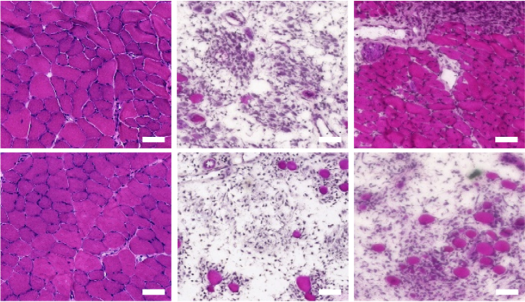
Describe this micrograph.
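Cross sections of skeletal muscle stained pink and purple, some tiles showing tightly packed polygonal pink fibres with small nuclei at their edges. Other tiles show the fibres largely replaced by loose pale tissue crowded with small purple nuclei, with scattered rounded pink fibre fragments. In some tiles many small fibres are again packed together, while others remain mostly loose cellular tissue with few pink fibres.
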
